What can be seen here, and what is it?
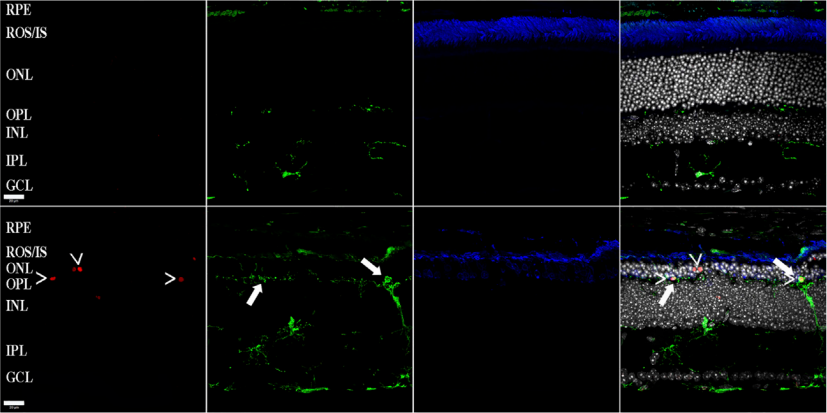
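These are sections through the retina, with two rows of four channel images each. The upper row shows a normal layered retina. It has a thick outer nuclear layer of densely packed grey nuclei beneath a continuous blue band of outer segments. Sparse green, finely branched cells lie in the plexiform layers. In the lower row the outer nuclear layer is thinned to a few rows of nuclei, and the blue band is thin and irregular. Green branched microglia with long processes reach up into the outer retina and lie close to these nuclei.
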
